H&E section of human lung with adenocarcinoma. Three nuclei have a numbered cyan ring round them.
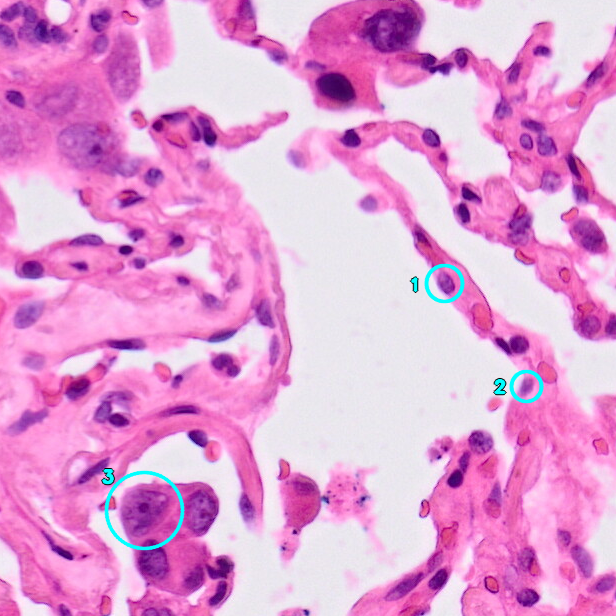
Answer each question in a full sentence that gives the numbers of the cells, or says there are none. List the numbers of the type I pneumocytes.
In short, the numbered cells 1 and 2 are type I pneumocytes.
